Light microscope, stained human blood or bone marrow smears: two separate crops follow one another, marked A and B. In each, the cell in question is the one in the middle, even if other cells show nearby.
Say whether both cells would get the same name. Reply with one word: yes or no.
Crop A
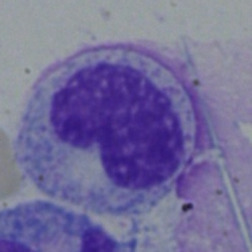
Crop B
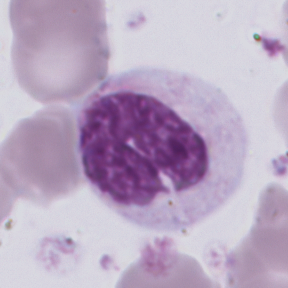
no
